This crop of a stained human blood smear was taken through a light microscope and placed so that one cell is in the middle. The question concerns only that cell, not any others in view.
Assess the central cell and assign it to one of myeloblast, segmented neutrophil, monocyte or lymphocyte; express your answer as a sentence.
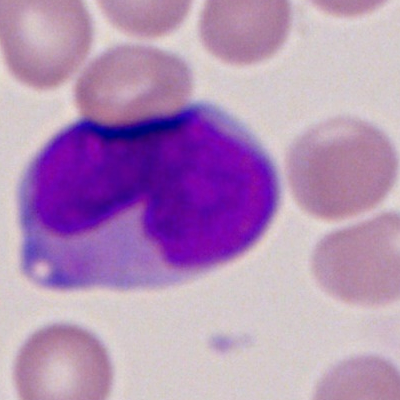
The central cell, amid any neighbouring cells, is a myeloblast.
